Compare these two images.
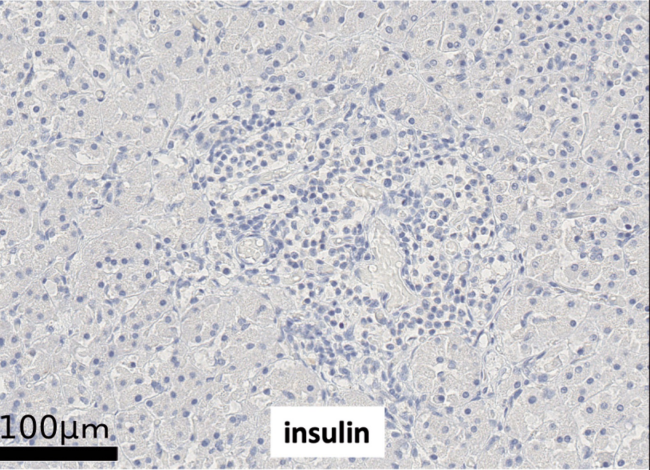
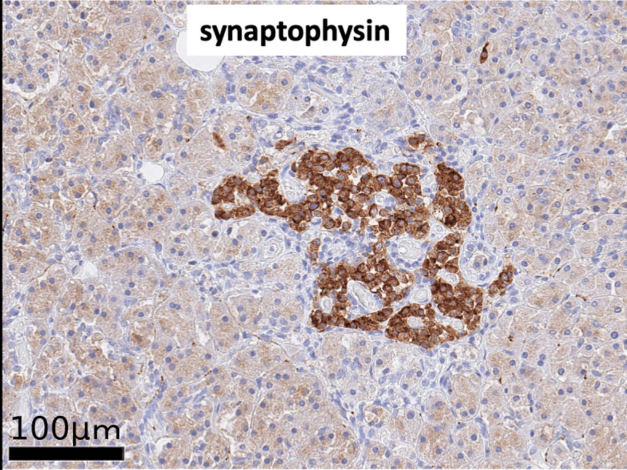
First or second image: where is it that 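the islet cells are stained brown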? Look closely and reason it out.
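First image: the cluster of islet cells shows only blue nuclei with no brown stain. Second image: the whole cluster of islet cells is stained dark brown. On this evidence: the second image.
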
